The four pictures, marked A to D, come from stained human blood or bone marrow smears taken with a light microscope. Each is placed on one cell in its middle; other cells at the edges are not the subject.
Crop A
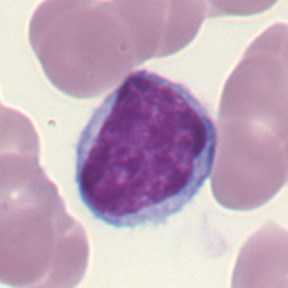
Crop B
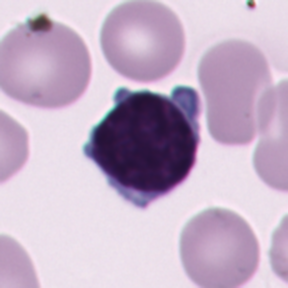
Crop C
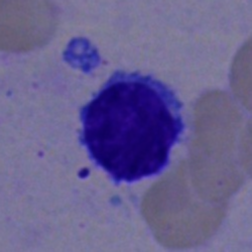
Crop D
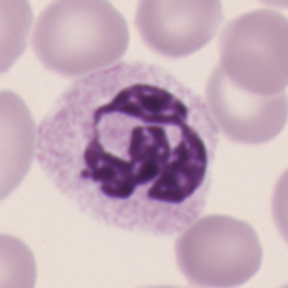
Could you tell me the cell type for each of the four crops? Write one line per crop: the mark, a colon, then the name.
A: lymphocyte
B: lymphocyte
C: lymphocyte
D: segmented neutrophil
